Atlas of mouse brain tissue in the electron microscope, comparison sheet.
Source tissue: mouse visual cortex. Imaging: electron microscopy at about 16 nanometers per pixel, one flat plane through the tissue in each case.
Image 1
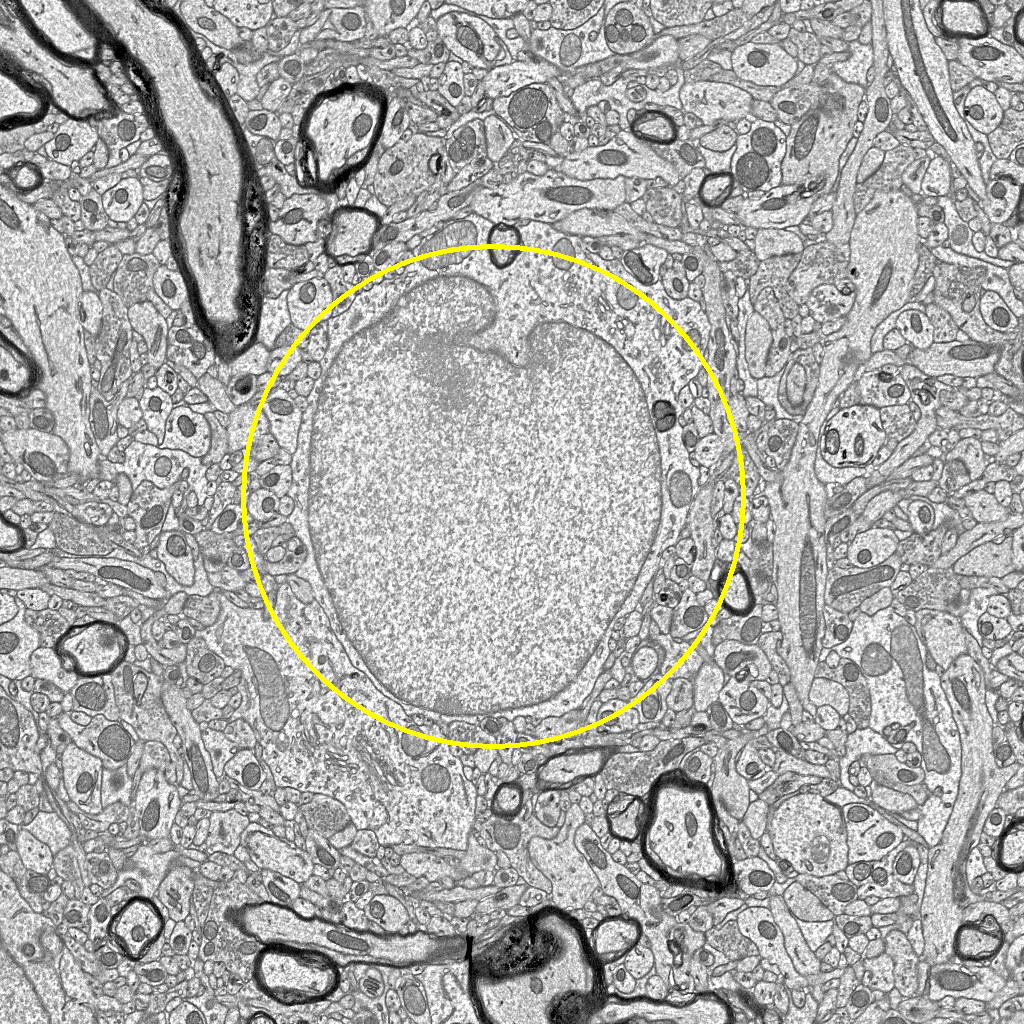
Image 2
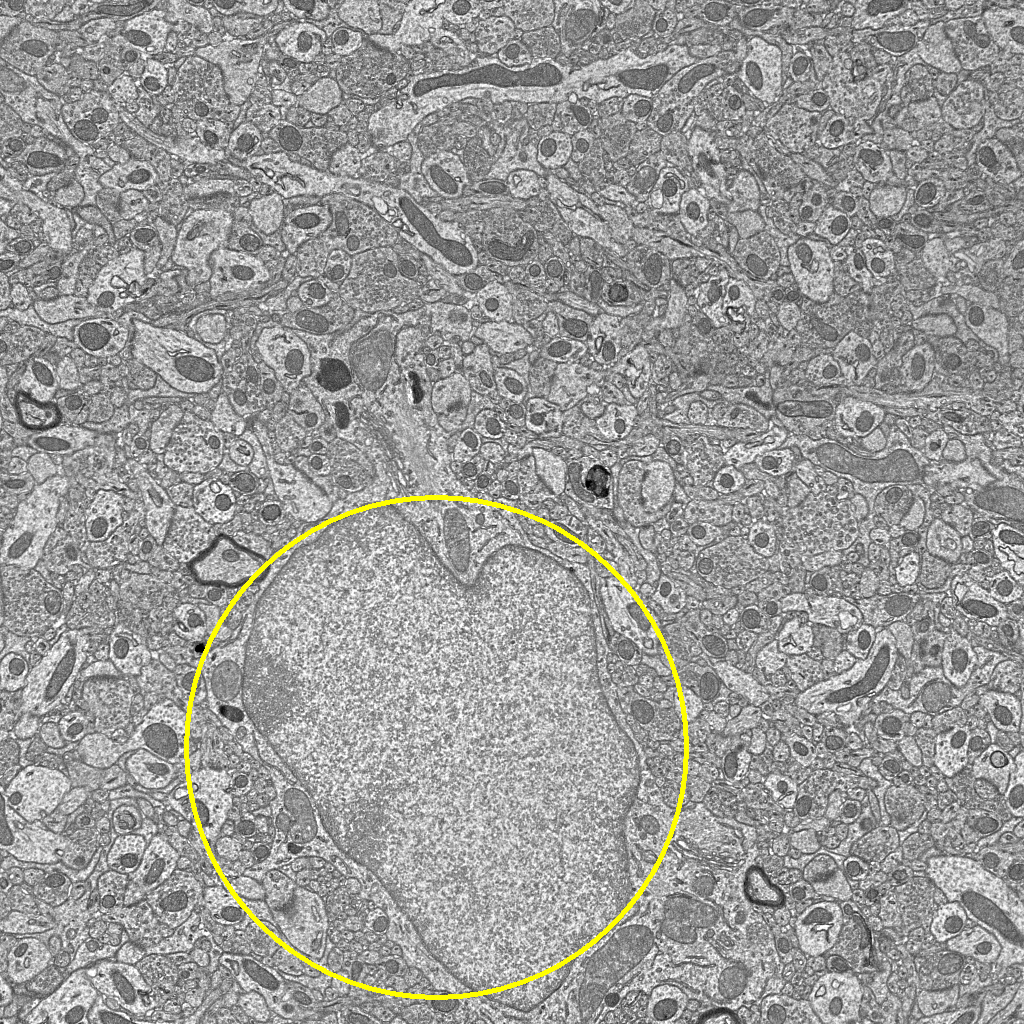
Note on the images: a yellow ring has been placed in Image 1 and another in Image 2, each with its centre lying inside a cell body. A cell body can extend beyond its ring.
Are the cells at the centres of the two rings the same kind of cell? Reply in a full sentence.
Yes, both cells are of the same kind.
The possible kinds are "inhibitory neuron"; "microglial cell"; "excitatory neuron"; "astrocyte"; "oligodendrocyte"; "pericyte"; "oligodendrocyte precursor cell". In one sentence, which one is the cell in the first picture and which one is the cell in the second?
Each of the two pictures has an astrocyte at the ring centre.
